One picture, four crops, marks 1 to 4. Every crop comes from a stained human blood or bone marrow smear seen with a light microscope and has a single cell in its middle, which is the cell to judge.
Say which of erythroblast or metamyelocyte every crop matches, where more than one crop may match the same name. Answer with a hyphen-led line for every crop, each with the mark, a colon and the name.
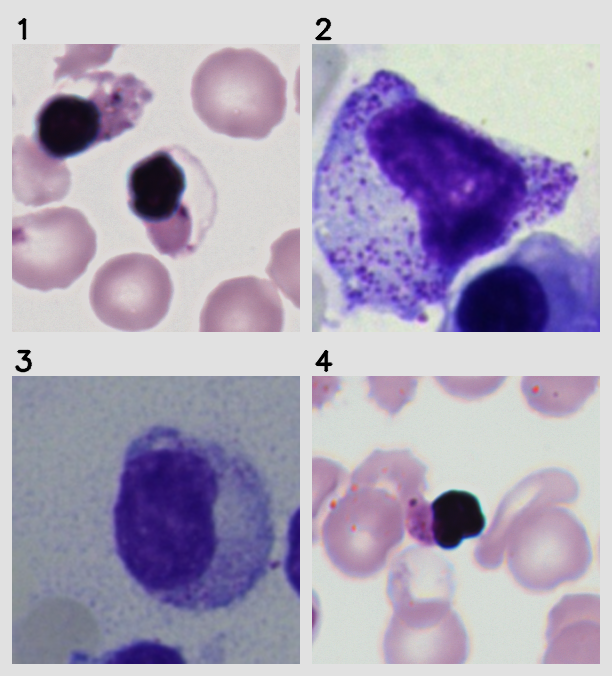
- 1: erythroblast
- 2: metamyelocyte
- 3: metamyelocyte
- 4: erythroblast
